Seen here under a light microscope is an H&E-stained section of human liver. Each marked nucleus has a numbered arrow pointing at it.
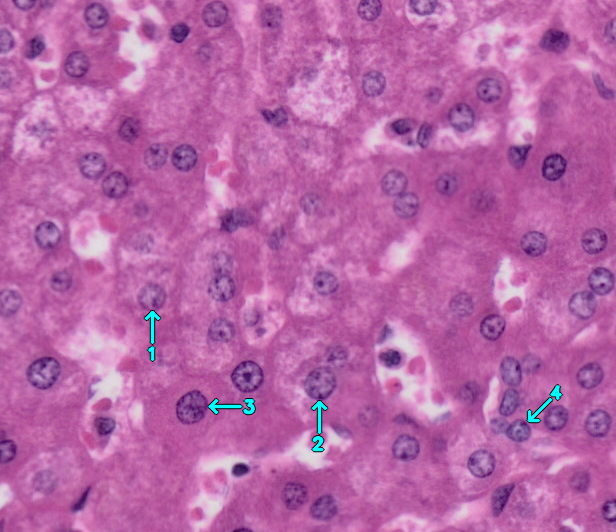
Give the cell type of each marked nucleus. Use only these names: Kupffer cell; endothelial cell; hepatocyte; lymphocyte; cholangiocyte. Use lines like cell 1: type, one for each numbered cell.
cell 1: hepatocyte
cell 2: hepatocyte
cell 3: hepatocyte
cell 4: cholangiocyte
